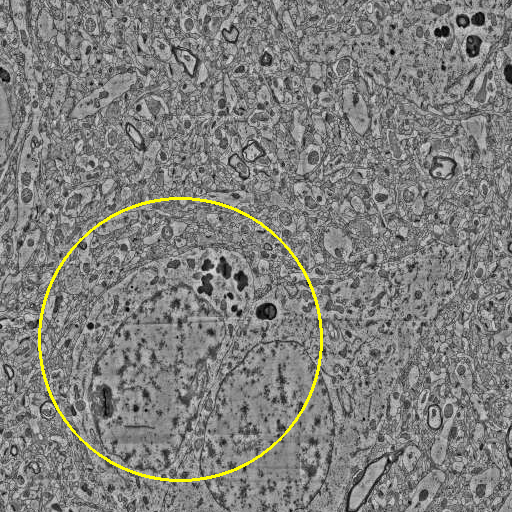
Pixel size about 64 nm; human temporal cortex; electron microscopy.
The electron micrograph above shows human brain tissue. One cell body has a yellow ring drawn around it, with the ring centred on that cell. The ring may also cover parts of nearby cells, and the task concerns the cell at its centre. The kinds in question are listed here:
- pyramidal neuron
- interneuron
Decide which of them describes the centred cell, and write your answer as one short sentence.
The centred cell is an interneuron.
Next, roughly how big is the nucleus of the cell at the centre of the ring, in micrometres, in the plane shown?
The nucleus is about 12 micrometres in length and 7 in width, clearly longer than it is wide in this plane.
